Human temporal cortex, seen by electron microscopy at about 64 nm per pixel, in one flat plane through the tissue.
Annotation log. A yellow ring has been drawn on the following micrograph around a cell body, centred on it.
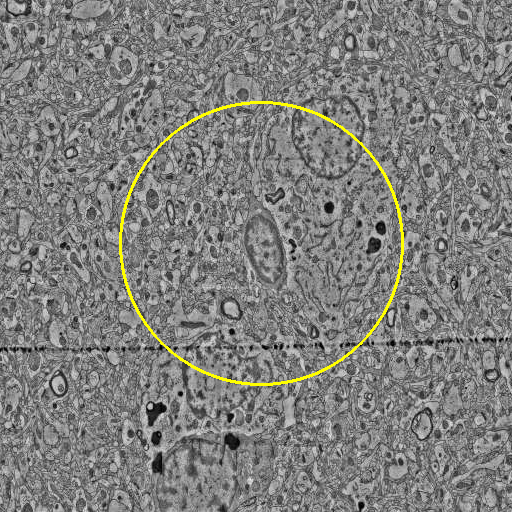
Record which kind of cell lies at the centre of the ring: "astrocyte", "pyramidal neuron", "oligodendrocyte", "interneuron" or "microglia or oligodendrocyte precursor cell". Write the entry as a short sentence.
The cell the ring is centred on is an oligodendrocyte.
